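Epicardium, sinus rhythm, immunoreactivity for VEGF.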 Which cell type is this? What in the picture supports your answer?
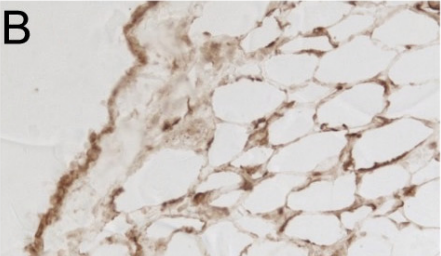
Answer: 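Large polygonal empty-looking cells with thin walls. Thin brown rims outline each cell.
Conclusion: adipocytes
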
